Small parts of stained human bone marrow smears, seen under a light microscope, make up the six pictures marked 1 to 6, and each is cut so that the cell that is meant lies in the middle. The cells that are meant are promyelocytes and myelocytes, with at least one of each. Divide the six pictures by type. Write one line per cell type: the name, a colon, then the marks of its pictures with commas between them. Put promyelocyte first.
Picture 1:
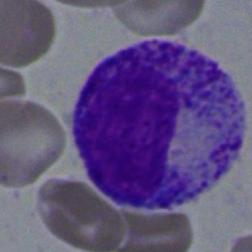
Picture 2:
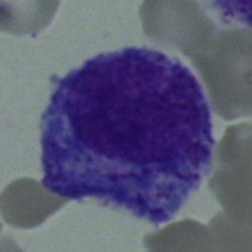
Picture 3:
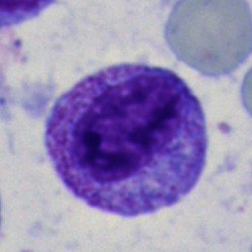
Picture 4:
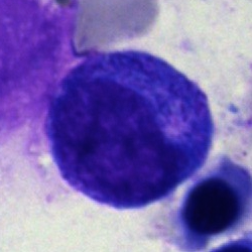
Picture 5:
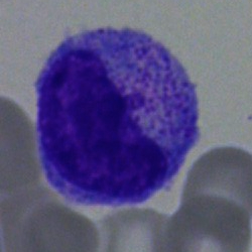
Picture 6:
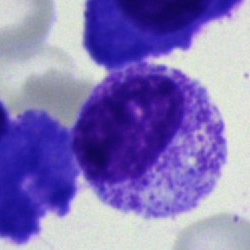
promyelocyte: 2, 3, 4
myelocyte: 1, 5, 6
